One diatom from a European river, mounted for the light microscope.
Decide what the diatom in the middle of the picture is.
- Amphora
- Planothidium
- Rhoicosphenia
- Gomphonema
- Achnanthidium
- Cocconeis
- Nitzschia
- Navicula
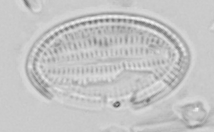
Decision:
Cocconeis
